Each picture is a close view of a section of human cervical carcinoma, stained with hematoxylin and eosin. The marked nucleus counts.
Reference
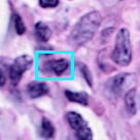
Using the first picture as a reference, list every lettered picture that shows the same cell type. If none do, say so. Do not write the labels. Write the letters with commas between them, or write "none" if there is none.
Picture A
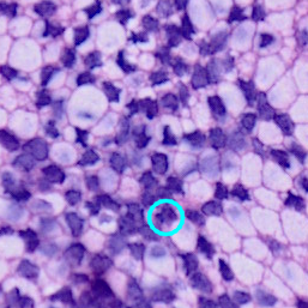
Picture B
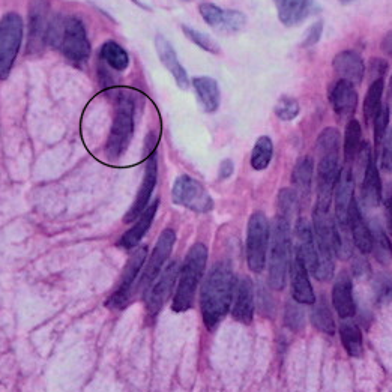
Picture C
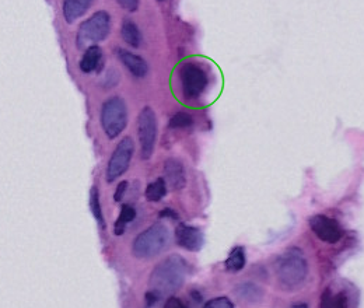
none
